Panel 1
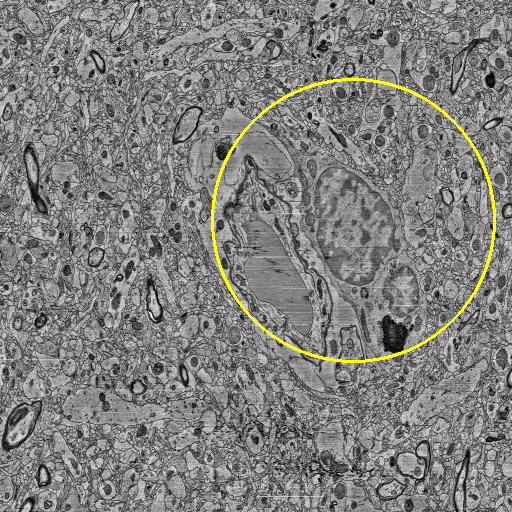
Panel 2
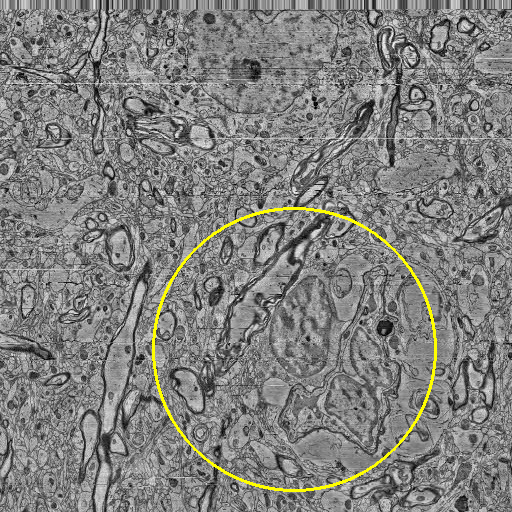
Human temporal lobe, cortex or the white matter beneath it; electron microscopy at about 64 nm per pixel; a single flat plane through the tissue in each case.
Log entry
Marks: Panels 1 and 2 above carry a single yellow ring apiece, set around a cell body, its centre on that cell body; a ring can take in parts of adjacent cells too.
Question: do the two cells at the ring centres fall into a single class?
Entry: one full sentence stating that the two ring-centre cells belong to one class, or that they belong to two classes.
The two ring-centre cells in Panels 1 and 2 belong to one class.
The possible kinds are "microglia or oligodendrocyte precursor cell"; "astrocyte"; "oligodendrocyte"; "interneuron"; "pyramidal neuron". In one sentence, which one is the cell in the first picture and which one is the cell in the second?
The second cell is an oligodendrocyte, just as the first is.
